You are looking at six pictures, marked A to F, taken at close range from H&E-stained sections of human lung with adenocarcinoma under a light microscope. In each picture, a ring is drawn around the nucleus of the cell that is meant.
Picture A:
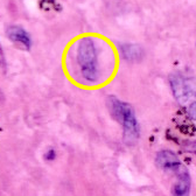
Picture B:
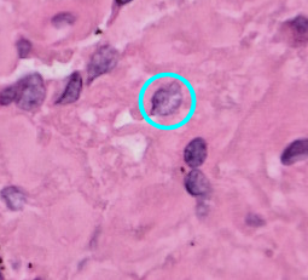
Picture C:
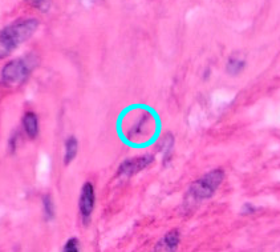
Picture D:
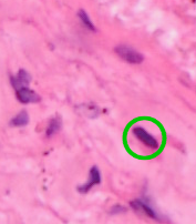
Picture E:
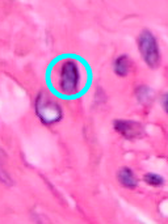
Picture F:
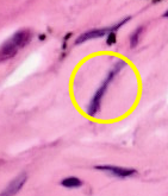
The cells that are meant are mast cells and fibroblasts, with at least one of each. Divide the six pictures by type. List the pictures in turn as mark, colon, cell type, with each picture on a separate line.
A: fibroblast
B: fibroblast
C: fibroblast
D: mast cell
E: mast cell
F: fibroblast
